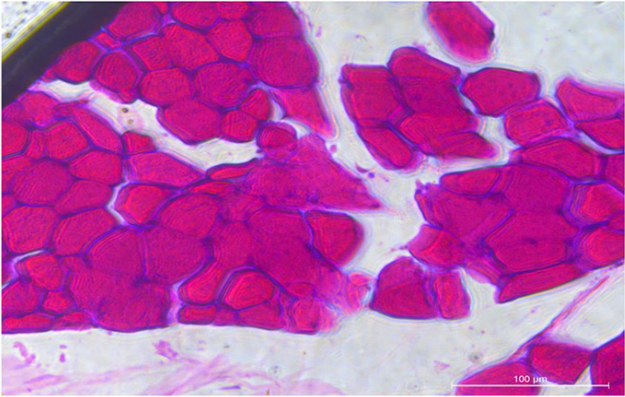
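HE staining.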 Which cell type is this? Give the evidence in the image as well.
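Muscle fibers. Large polygonal pink-red profiles are cut in cross section and packed side by side. Each profile has a thin purple rim. Pale gaps of connective tissue separate groups of the profiles.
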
